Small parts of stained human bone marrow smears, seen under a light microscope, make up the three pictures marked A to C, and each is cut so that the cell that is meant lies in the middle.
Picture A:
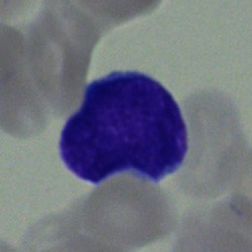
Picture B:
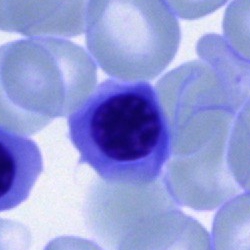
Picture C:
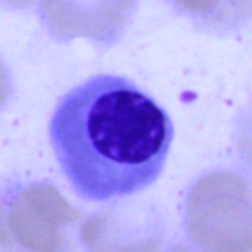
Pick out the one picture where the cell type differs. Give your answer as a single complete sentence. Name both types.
The others show erythroblasts, but picture A shows a blast.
